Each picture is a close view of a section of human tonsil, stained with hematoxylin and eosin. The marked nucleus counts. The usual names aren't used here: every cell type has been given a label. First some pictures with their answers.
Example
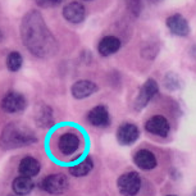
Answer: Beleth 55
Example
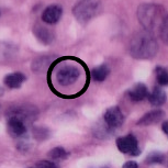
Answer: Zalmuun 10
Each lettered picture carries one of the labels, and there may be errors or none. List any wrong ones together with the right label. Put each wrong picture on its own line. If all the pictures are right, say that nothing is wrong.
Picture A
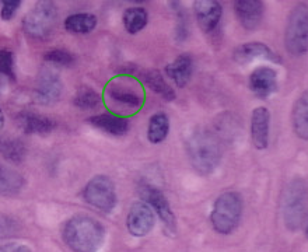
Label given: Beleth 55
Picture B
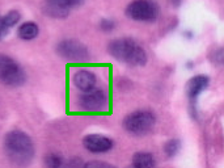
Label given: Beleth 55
Wrong: A (Beleth 55); correct: Zalmuun 10
Wrong: B (Beleth 55); correct: Zalmuun 10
